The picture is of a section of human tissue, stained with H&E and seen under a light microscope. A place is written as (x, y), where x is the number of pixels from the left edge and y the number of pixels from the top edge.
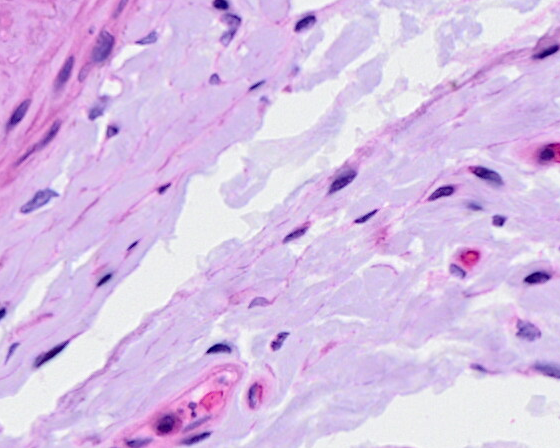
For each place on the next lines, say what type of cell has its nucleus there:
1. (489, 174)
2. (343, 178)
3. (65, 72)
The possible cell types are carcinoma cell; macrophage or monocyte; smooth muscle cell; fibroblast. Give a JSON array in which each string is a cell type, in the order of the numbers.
["fibroblast", "fibroblast", "smooth muscle cell"]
